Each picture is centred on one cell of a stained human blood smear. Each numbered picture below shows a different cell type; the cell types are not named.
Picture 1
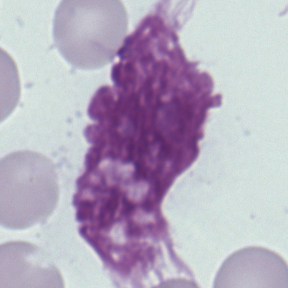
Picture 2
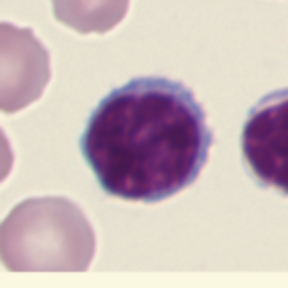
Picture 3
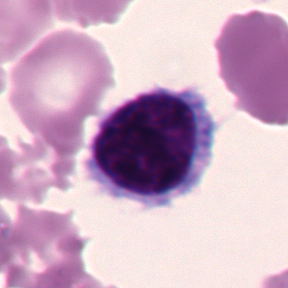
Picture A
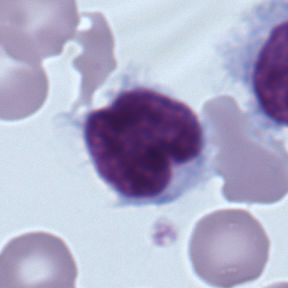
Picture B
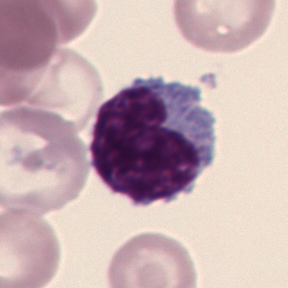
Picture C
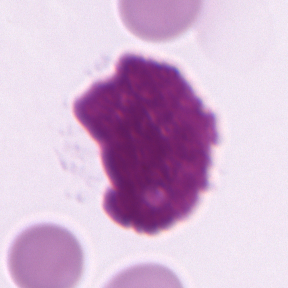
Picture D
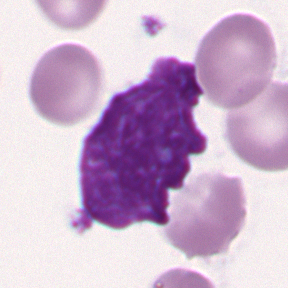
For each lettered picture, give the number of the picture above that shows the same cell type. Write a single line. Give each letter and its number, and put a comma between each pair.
A 3, B 2, C 1, D 1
